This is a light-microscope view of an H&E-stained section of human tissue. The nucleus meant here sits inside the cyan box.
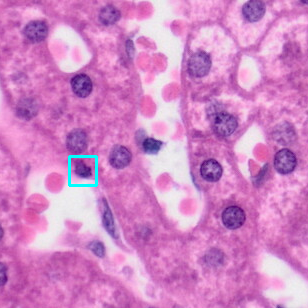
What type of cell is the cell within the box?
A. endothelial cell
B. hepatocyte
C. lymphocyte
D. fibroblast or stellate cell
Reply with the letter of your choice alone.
D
